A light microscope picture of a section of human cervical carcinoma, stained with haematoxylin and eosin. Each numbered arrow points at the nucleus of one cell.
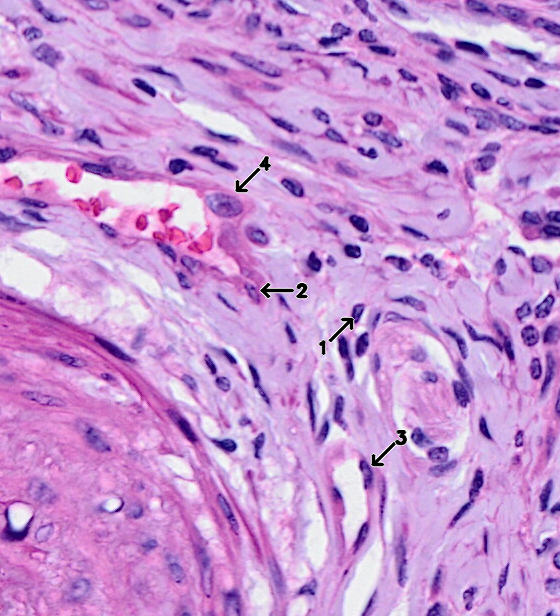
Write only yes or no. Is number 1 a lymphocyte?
yes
